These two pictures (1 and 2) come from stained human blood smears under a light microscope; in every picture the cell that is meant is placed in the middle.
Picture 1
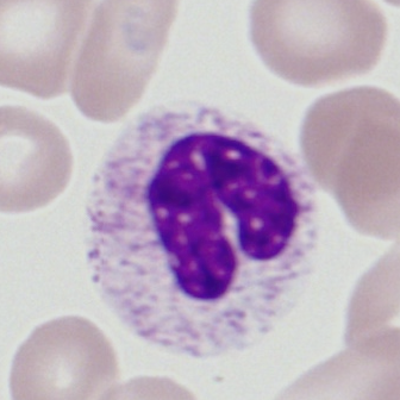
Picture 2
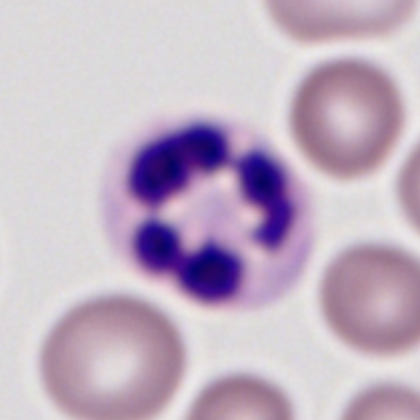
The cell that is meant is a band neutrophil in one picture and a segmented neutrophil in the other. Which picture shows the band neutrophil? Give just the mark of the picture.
1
